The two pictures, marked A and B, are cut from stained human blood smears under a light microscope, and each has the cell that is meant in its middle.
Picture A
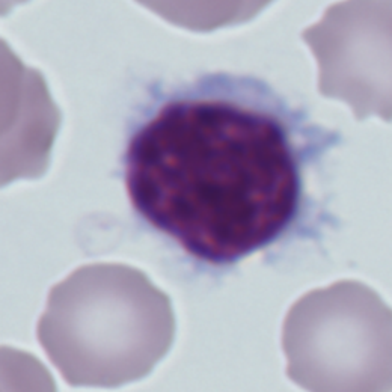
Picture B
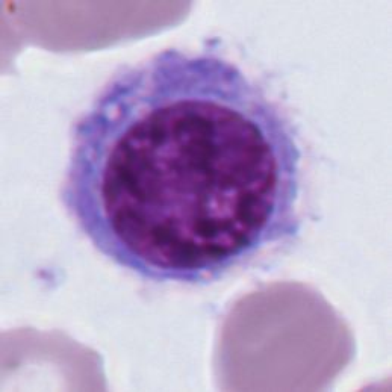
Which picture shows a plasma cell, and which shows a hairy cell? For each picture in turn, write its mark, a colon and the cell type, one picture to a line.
A: hairy cell
B: plasma cell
